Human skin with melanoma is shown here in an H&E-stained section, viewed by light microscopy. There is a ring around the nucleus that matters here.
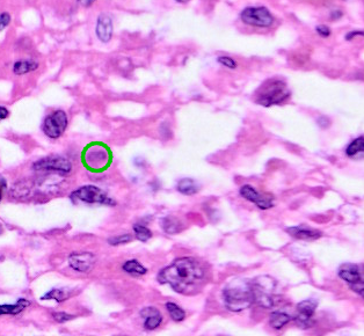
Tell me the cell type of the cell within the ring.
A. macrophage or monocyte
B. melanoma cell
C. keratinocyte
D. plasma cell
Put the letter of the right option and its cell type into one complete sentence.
In this case the cell within the ring is a macrophage or monocyte, so option A is correct.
